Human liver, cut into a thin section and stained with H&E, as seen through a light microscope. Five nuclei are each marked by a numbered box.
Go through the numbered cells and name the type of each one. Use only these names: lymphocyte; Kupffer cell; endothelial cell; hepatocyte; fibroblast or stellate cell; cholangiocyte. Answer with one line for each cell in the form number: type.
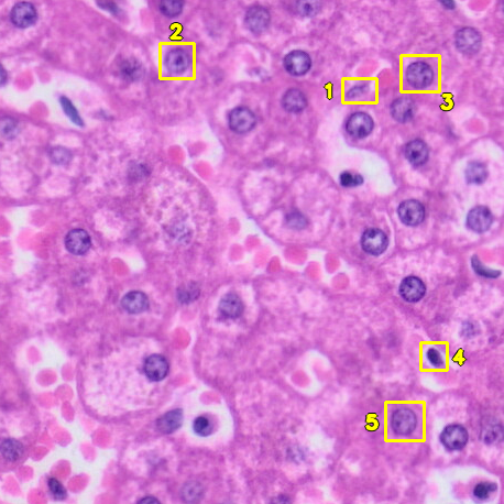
1: Kupffer cell
2: hepatocyte
3: hepatocyte
4: lymphocyte
5: hepatocyte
